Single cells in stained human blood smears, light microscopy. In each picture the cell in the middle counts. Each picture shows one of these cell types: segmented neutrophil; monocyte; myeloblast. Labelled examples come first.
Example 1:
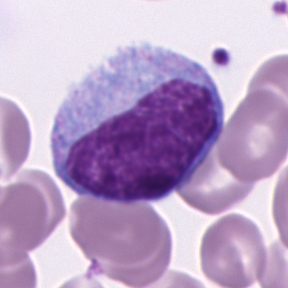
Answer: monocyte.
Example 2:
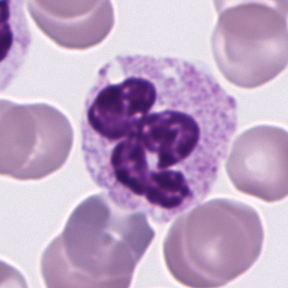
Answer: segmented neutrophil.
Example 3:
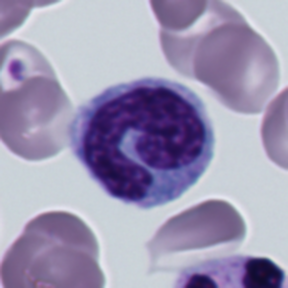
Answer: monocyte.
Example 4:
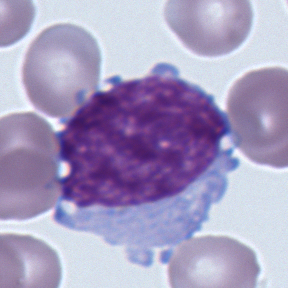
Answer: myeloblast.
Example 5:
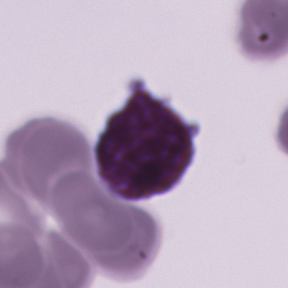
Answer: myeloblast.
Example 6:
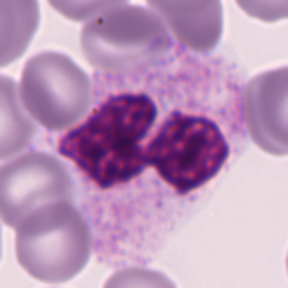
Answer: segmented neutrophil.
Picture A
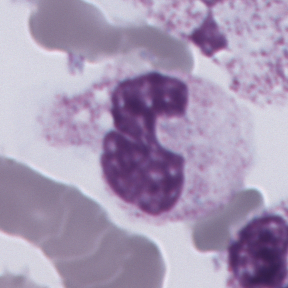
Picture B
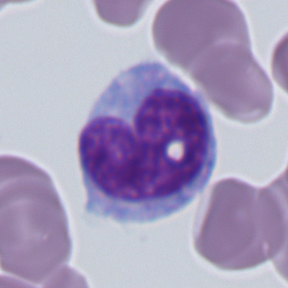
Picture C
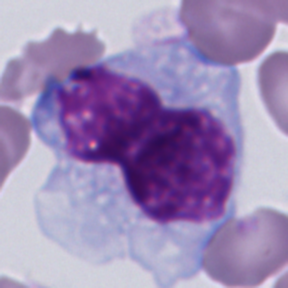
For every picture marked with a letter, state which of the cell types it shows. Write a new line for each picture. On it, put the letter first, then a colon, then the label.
A: segmented neutrophil.
B: monocyte.
C: monocyte.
